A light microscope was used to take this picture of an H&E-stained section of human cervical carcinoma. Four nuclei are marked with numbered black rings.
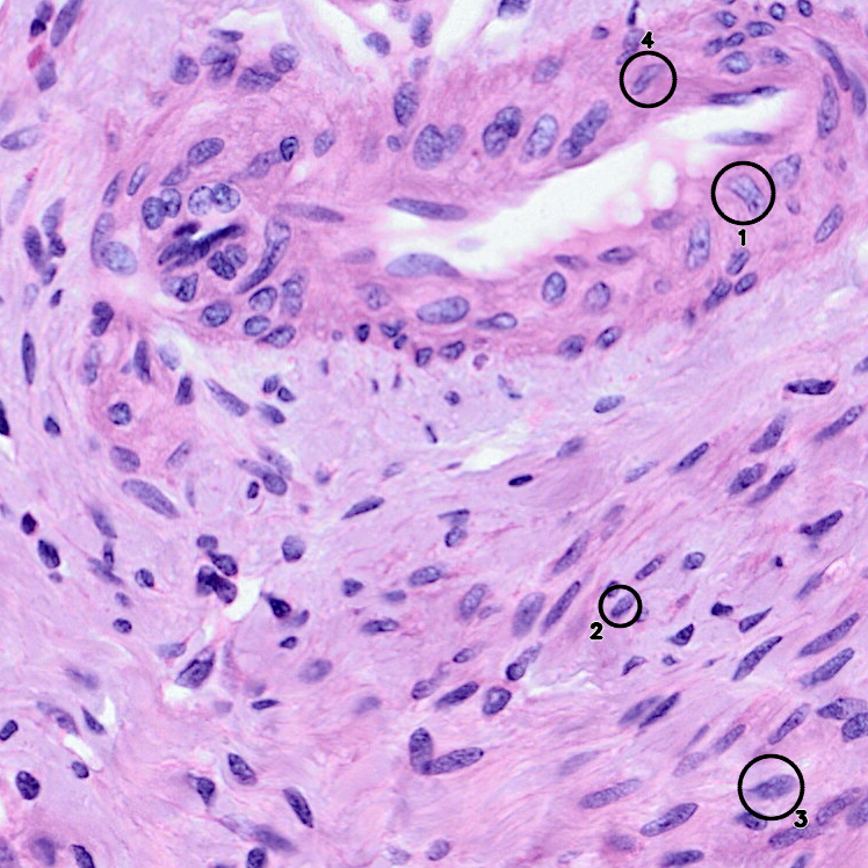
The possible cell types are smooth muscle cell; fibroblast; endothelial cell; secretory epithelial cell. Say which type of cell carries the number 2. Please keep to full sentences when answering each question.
The cell given label 2 is a smooth muscle cell.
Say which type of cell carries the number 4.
In the marked set, the cell given number 4 is a smooth muscle cell.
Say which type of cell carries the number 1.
The cell identified by the number 1 is a smooth muscle cell.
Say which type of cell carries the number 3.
The marked cell bearing number 3 is a fibroblast.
